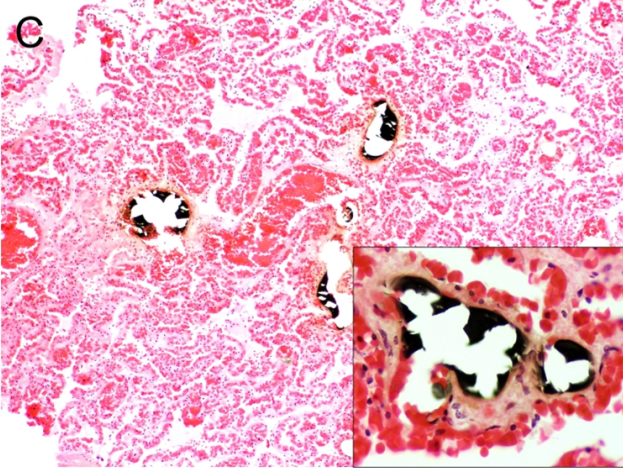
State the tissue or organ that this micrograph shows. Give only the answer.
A: lung parenchyma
